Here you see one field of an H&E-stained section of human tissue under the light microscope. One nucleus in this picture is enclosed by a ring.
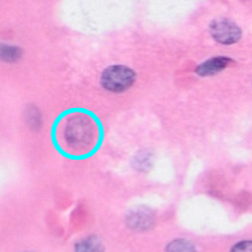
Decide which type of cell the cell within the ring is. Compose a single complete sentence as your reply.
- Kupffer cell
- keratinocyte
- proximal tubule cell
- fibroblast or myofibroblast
Histopathologically, the cell within the ring is a proximal tubule cell.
